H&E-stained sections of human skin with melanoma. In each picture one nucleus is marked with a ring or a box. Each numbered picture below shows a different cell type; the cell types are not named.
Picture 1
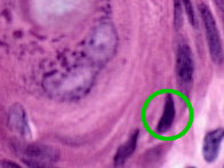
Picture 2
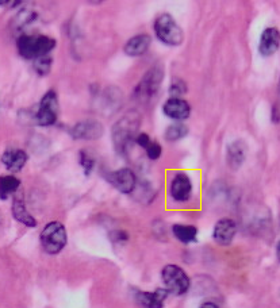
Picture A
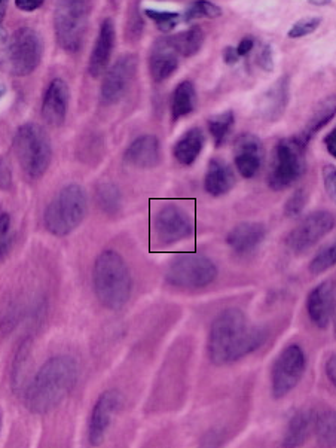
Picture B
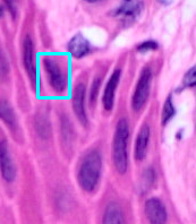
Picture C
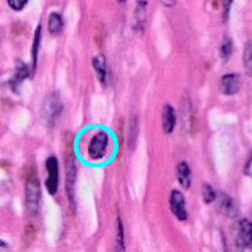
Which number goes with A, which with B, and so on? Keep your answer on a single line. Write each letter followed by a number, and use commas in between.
A 1, B 1, C 2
